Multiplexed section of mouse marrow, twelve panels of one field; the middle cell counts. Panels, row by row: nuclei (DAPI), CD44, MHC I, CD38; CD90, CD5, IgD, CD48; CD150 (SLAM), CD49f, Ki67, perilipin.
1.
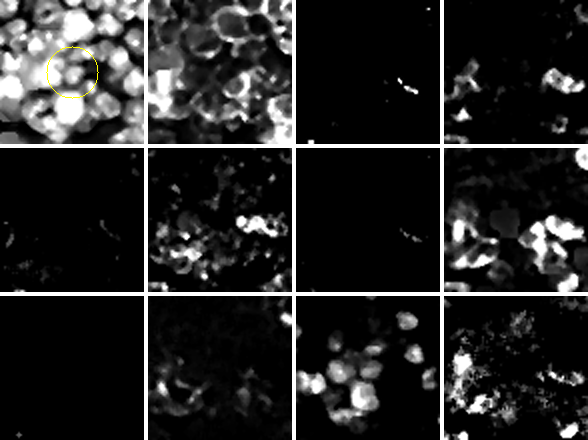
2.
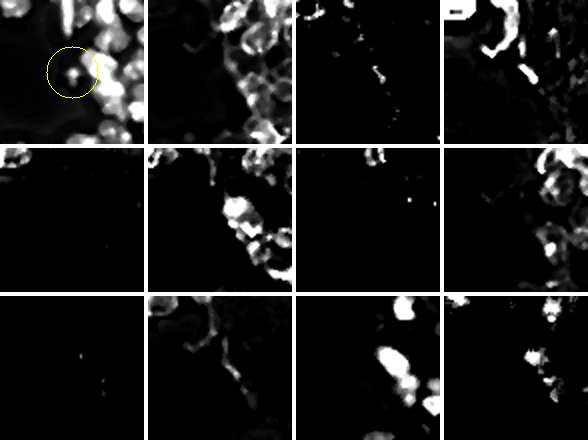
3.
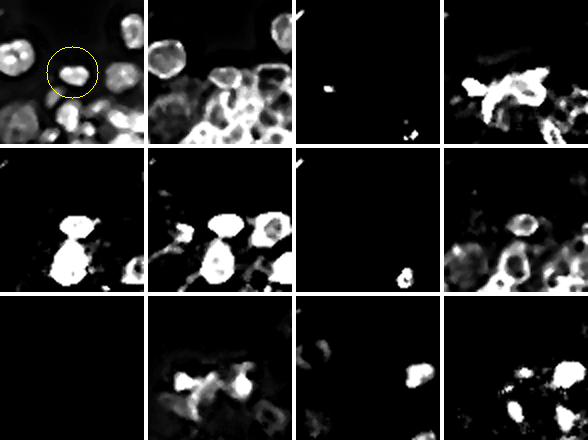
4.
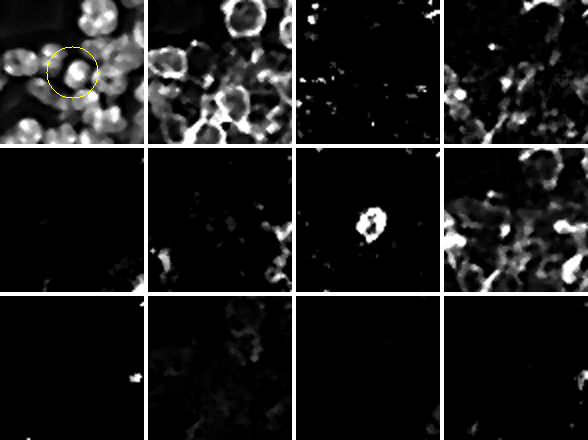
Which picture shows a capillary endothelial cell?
Picture 2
